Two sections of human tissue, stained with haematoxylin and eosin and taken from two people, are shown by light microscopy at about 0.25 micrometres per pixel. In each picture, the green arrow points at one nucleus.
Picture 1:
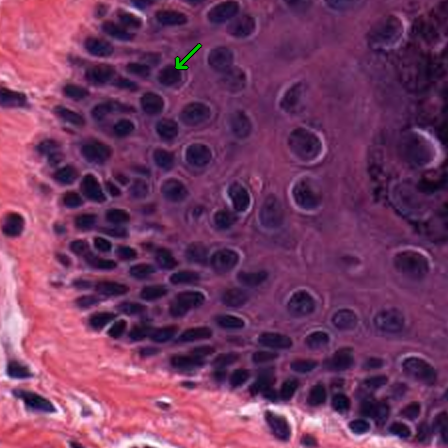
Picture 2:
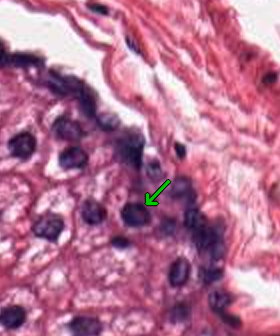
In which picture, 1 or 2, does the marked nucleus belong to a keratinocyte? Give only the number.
1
